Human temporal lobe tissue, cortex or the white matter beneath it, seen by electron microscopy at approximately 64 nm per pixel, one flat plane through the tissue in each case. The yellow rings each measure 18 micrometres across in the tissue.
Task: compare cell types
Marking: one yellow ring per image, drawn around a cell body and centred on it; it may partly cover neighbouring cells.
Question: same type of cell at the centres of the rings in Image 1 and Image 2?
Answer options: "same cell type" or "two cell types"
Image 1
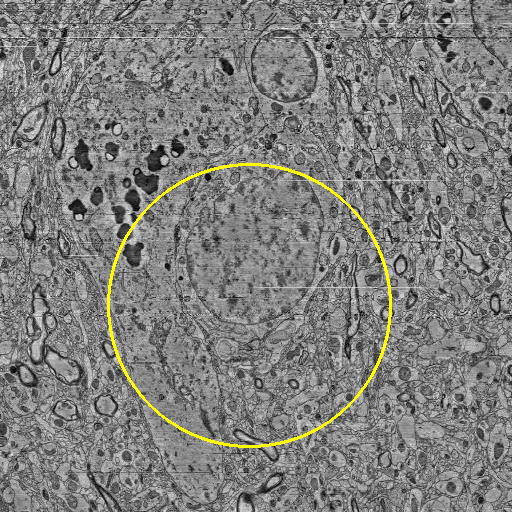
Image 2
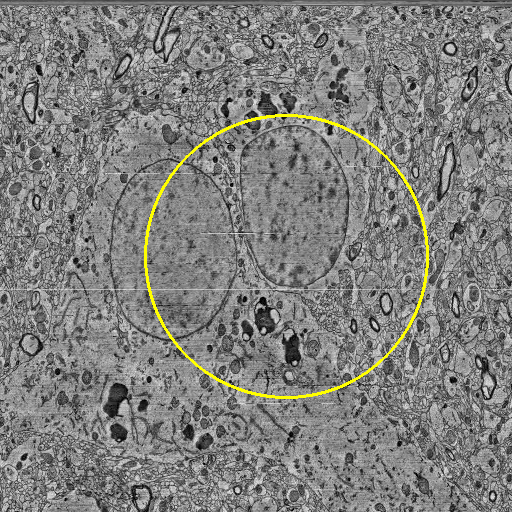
two cell types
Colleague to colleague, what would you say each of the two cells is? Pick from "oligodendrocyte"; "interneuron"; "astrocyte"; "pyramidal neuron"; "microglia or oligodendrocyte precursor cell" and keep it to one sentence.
The cell in the first picture is an interneuron; the second picture's cell is an astrocyte.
